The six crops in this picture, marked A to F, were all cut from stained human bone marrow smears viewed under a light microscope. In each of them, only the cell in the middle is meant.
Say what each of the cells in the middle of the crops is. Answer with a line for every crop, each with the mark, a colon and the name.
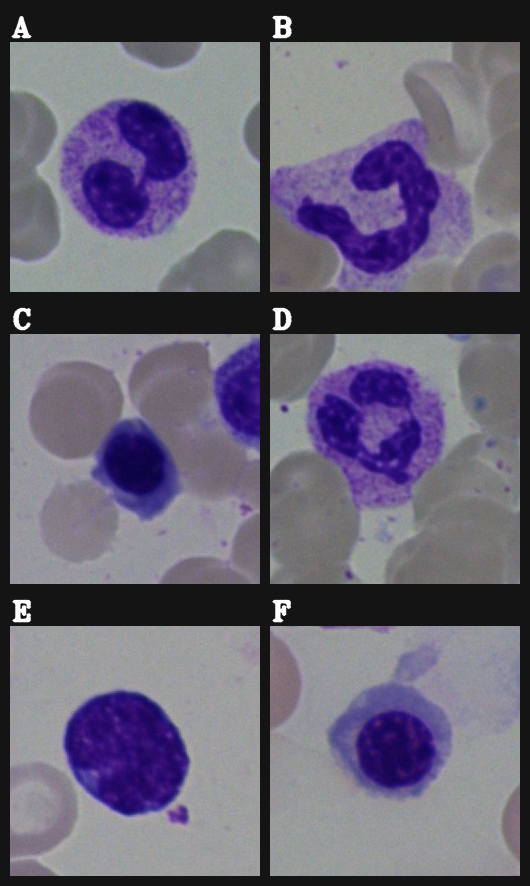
A: segmented neutrophil
B: segmented neutrophil
C: erythroblast
D: segmented neutrophil
E: blast
F: erythroblast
